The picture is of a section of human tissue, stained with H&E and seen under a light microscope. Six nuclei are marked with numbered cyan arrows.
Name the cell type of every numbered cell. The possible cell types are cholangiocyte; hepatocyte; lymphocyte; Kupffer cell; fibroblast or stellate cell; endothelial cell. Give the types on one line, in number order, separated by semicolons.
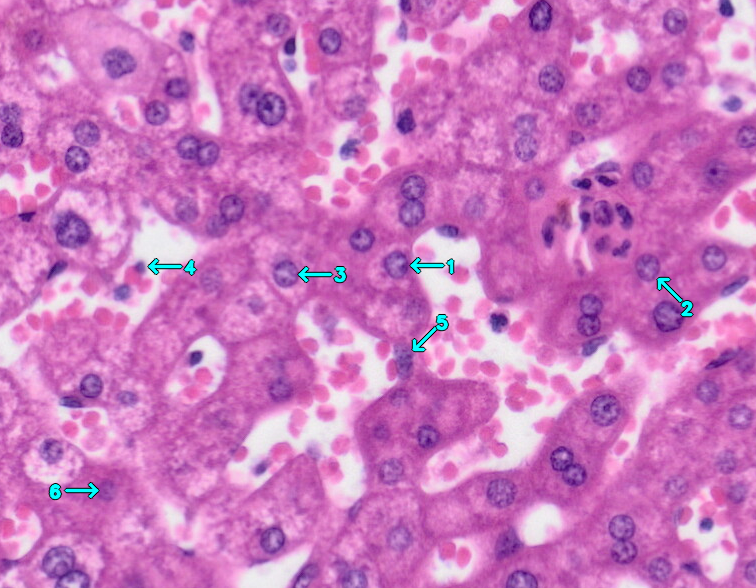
hepatocyte; hepatocyte; hepatocyte; lymphocyte; endothelial cell; hepatocyte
